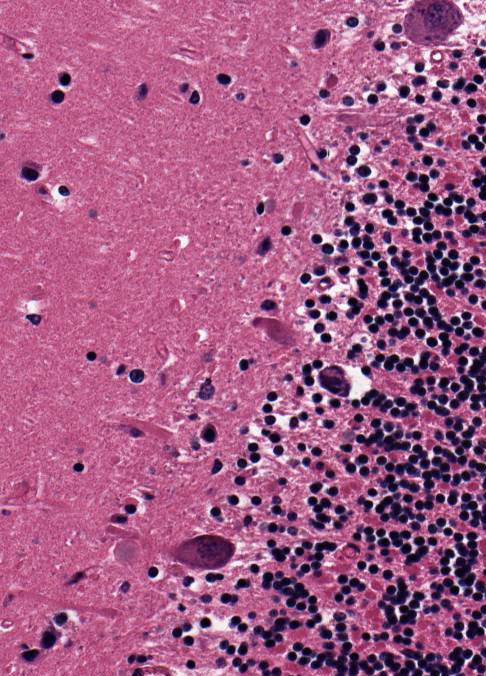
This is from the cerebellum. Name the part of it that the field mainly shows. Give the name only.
molecular layer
